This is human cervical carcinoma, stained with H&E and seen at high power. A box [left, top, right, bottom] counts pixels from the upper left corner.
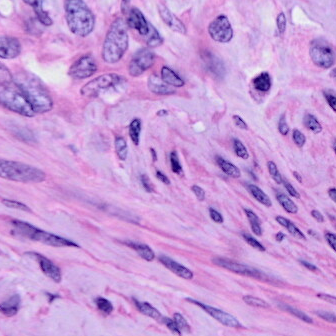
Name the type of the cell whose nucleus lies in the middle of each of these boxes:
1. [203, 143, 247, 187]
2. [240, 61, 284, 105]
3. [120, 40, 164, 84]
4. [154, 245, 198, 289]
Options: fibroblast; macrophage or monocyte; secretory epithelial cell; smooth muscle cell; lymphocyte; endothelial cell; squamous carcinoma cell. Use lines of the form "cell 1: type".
cell 1: smooth muscle cell
cell 2: lymphocyte
cell 3: endothelial cell
cell 4: smooth muscle cell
